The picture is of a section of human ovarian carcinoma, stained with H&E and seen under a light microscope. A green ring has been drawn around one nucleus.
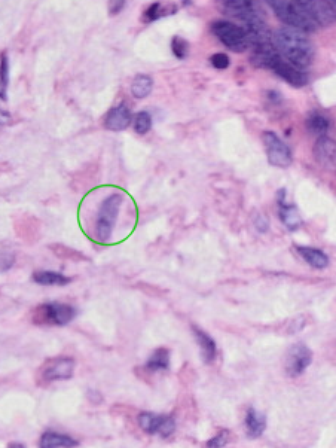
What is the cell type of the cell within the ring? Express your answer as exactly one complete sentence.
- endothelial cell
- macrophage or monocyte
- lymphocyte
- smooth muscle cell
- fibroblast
Among the cells in this section, the cell within the ring is a fibroblast.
